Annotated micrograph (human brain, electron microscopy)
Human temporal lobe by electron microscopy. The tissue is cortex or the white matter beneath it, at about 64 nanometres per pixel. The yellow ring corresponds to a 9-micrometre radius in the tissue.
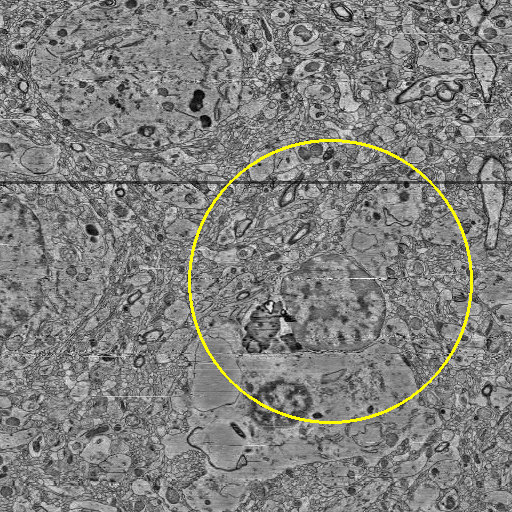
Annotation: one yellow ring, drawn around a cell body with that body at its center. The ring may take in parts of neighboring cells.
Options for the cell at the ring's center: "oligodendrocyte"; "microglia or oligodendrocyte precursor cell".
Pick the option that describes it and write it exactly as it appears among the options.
microglia or oligodendrocyte precursor cell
